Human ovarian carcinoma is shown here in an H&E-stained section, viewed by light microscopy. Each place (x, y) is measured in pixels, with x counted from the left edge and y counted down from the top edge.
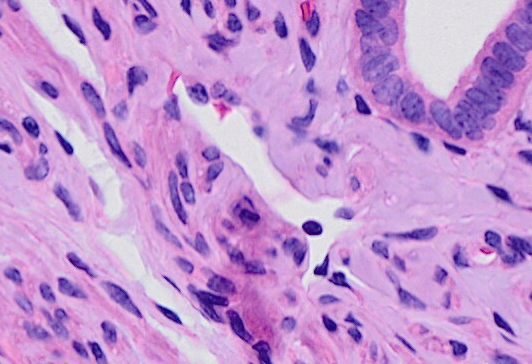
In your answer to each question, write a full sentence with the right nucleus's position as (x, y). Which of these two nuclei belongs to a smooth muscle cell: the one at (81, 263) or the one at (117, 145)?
The nucleus at (117, 145), rather than the other one, belongs to a smooth muscle cell.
